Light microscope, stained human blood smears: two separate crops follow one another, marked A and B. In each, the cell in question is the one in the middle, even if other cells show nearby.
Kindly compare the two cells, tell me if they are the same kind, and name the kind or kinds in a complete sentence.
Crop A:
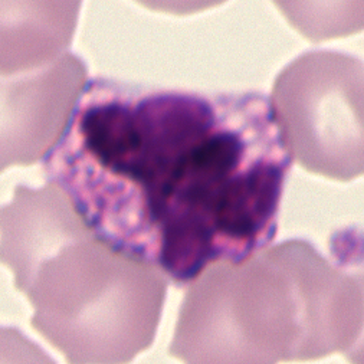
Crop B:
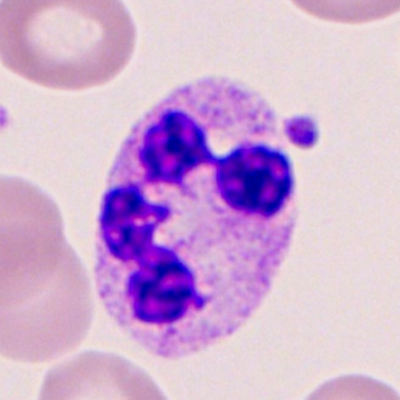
No, the cell of interest in crop A is a basophil, and in crop B it is a neutrophil.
